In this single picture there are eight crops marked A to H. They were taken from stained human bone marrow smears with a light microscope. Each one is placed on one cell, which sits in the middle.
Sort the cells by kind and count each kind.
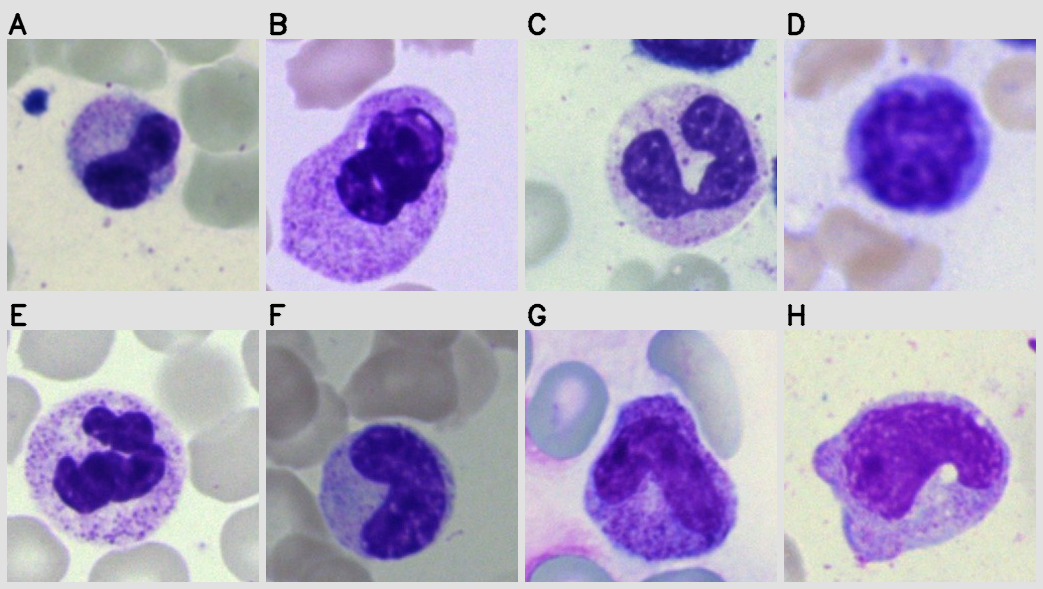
band neutrophil: 3
segmented neutrophil: 3
monocyte: 2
